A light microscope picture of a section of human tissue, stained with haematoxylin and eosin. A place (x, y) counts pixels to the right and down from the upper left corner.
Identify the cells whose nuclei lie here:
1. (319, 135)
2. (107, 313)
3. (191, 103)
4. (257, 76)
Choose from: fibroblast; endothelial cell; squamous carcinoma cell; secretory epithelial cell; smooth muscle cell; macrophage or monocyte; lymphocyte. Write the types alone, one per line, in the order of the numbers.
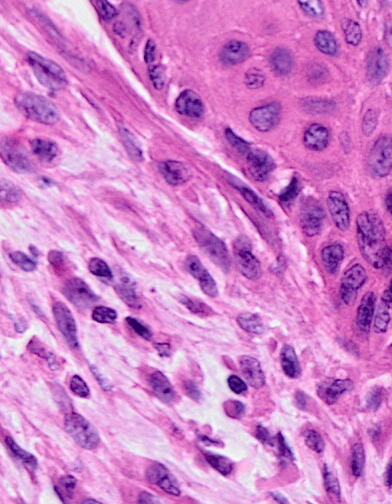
squamous carcinoma cell
lymphocyte
squamous carcinoma cell
squamous carcinoma cell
